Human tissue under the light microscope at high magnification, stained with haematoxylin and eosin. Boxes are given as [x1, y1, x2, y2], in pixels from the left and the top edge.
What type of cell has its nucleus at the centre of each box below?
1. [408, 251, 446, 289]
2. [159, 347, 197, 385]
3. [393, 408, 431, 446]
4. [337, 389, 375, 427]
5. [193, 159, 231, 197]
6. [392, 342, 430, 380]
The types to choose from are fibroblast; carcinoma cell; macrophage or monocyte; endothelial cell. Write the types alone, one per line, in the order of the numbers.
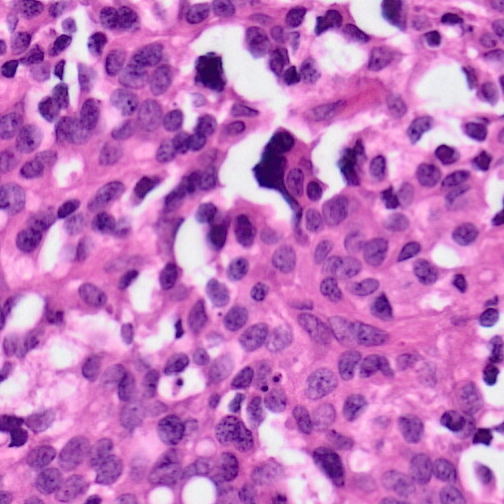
macrophage or monocyte
macrophage or monocyte
carcinoma cell
carcinoma cell
carcinoma cell
carcinoma cell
